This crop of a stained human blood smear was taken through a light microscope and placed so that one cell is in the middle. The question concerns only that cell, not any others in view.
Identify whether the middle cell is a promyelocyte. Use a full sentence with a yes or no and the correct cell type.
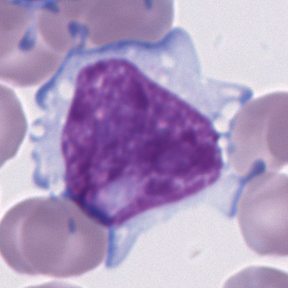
No, what occupies the middle of the crop is a myeloblast and not a promyelocyte.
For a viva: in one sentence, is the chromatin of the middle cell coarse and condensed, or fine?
Heads up, the chromatin is fine with no coarse clumps in it.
